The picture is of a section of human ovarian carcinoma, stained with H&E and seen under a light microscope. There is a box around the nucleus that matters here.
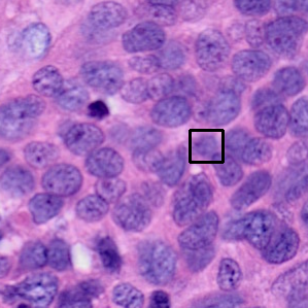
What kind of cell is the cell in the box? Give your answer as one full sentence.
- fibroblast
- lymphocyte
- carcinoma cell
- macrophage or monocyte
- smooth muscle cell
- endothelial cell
The cell type of the cell in the box is that of a carcinoma cell.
